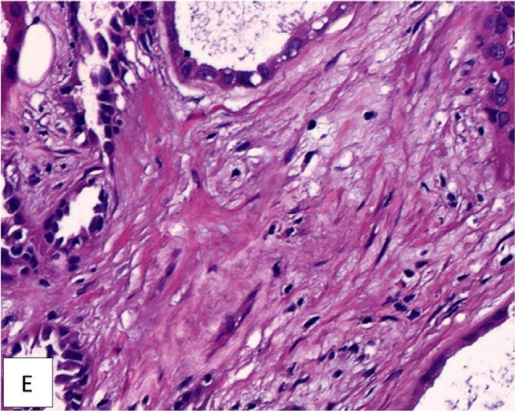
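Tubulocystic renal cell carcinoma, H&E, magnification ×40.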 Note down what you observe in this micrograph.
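The stroma between tubules and cysts of the tumor is shown, made of pale pink fibrous tissue with few cells. Sparse spindle-shaped nuclei lie scattered among the wavy collagen fibres. At the upper edge a cyst is lined by a single layer of epithelial cells with dark nuclei, and small tubules lie at the left. The stroma is loose in places, with small clear spaces between the fibres.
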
